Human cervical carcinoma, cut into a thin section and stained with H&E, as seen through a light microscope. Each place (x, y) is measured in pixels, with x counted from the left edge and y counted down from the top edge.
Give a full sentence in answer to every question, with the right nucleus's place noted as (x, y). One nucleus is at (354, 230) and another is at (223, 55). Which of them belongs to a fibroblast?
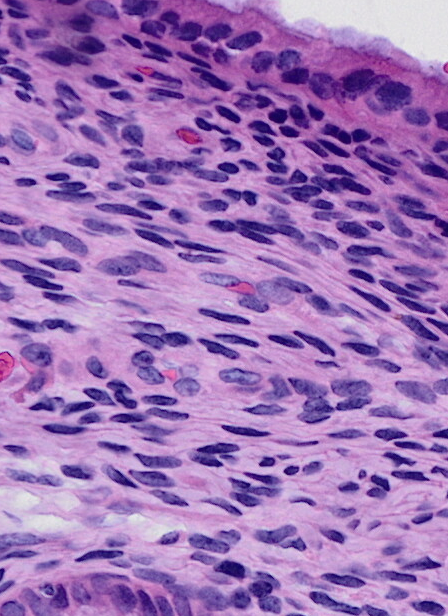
The nucleus positioned at (354, 230) is the one that belongs to a fibroblast.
